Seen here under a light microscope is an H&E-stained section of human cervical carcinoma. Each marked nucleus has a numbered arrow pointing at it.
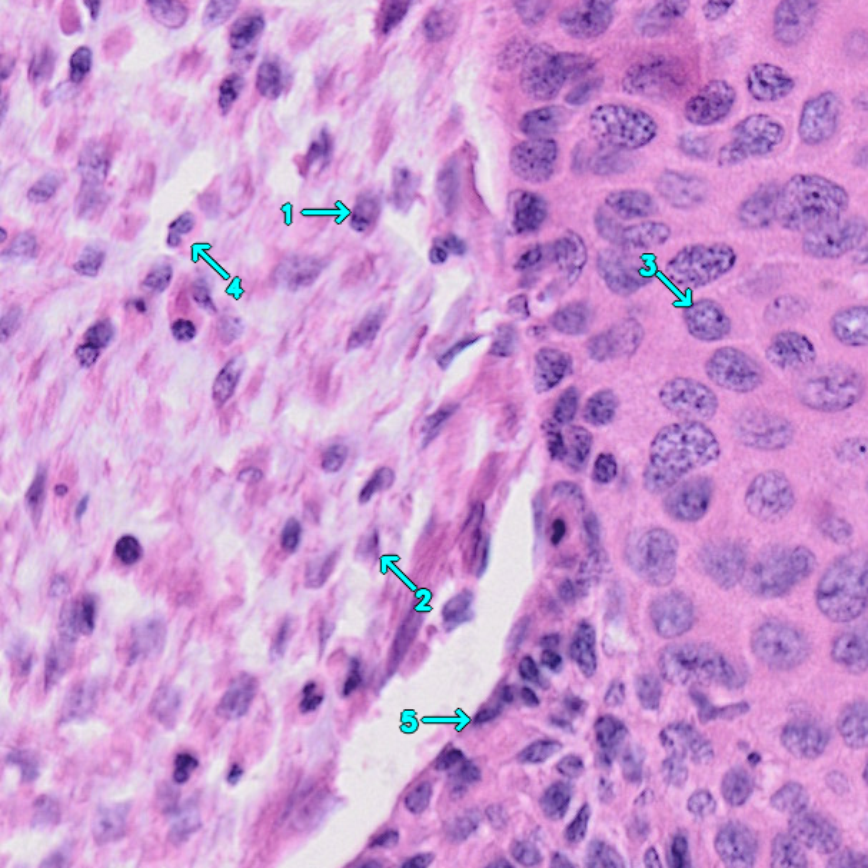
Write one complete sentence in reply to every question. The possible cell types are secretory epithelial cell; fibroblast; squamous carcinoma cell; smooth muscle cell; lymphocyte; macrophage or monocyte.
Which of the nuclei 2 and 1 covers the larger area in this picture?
Of the two, number 1 is bigger and takes up about 1.5 times the area of number 2.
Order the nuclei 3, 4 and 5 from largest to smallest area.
Going from the biggest nucleus down to the smallest gives 3, 4, 5.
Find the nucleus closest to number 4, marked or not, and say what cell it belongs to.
The cell nearest to number 4 is a macrophage or monocyte.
